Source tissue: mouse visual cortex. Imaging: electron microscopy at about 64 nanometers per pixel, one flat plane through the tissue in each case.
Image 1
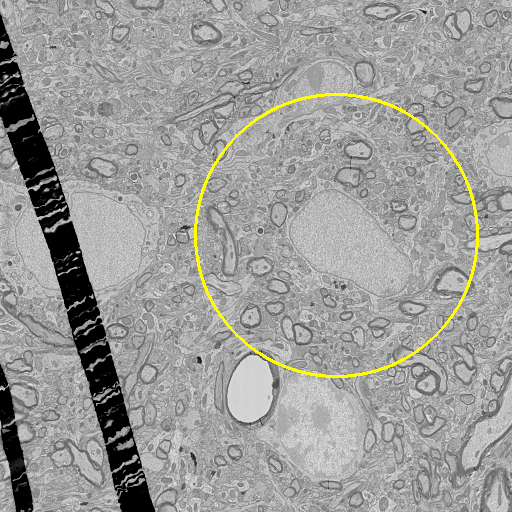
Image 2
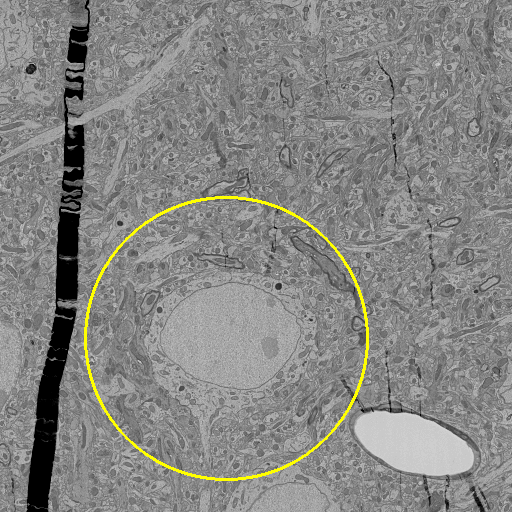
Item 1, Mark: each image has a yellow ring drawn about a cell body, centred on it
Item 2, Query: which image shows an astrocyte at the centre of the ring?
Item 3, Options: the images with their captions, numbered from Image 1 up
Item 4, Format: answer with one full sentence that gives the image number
My answer is image 1, where the cell at the ring's centre fits.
